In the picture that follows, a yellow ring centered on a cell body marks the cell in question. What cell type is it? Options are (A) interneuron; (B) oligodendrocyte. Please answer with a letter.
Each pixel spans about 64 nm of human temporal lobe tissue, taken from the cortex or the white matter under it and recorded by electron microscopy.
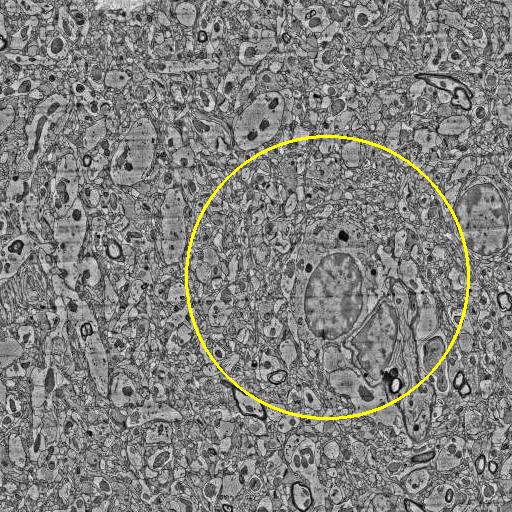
B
